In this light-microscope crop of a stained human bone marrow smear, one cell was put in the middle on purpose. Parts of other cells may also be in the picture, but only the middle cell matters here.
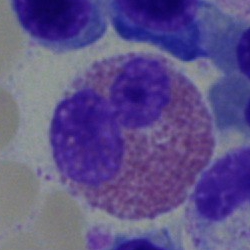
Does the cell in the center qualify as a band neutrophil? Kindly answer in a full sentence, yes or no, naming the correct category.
No, the label for the central cell is an eosinophil, not a band neutrophil.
